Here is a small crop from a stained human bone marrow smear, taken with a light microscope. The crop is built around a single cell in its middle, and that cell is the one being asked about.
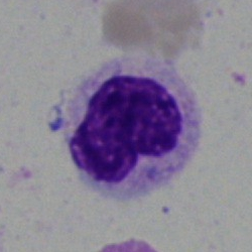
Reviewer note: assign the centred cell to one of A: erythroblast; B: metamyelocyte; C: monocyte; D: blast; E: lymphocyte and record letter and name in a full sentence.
The cell centred in the crop is a metamyelocyte, and the correct option is thus B.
